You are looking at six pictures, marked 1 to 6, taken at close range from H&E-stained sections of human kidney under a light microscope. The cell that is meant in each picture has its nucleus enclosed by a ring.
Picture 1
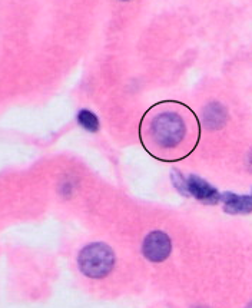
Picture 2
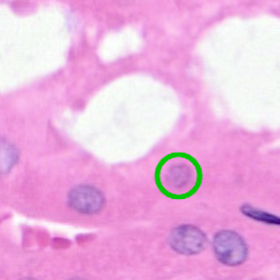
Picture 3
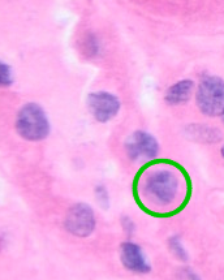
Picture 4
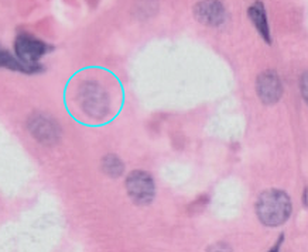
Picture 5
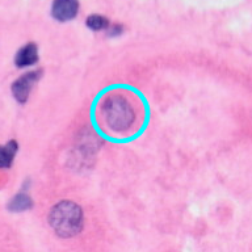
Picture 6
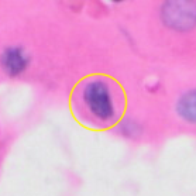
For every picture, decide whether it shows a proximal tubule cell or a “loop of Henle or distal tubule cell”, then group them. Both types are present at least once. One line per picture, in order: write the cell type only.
proximal tubule cell
proximal tubule cell
loop of Henle or distal tubule cell
proximal tubule cell
proximal tubule cell
loop of Henle or distal tubule cell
